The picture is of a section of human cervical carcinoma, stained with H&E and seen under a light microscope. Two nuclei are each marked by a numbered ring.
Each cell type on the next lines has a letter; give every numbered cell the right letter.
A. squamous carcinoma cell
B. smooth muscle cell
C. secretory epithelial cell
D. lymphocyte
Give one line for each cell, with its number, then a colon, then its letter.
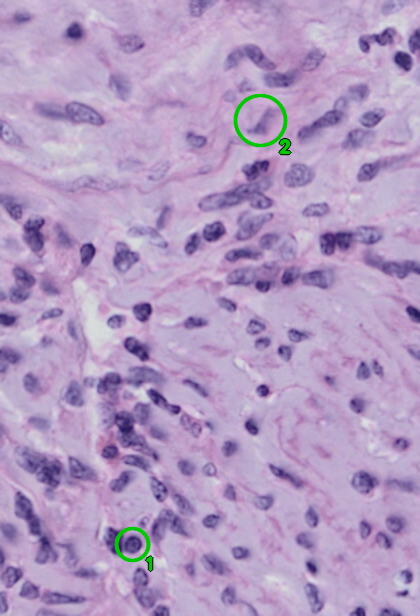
1: D
2: B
